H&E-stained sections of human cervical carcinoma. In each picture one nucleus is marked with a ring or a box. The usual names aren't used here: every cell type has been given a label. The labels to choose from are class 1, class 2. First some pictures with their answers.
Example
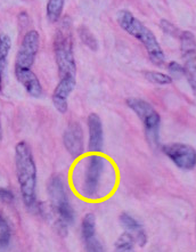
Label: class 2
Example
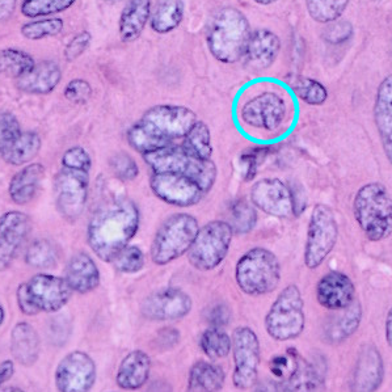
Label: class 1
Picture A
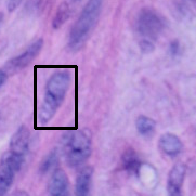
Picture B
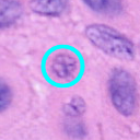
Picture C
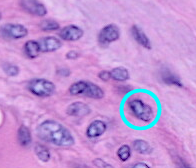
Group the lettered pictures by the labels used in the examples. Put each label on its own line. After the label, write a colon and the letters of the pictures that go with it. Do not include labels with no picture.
class 1: B
class 2: A, C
